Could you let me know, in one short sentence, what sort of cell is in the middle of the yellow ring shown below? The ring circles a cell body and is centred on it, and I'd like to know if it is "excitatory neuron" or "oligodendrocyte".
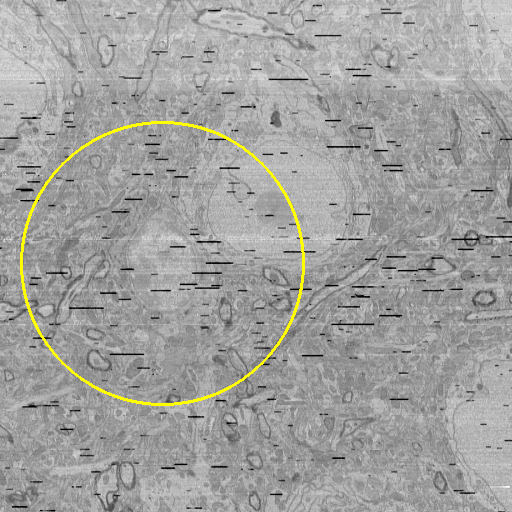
The ring circles the cell body of an oligodendrocyte.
